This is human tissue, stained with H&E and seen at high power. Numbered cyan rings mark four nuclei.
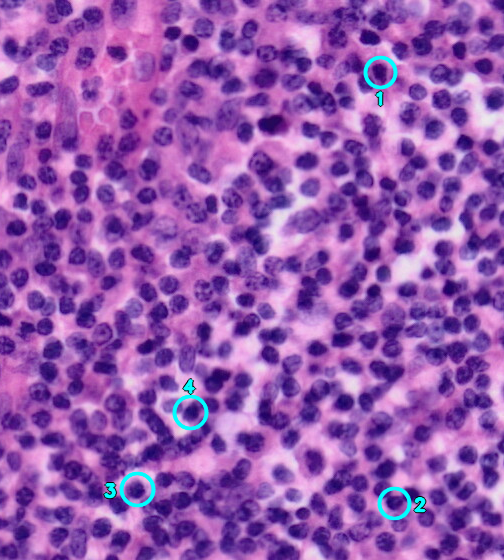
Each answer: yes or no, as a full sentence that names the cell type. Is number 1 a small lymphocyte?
No, number 1 is not a small lymphocyte but a plasma cell.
